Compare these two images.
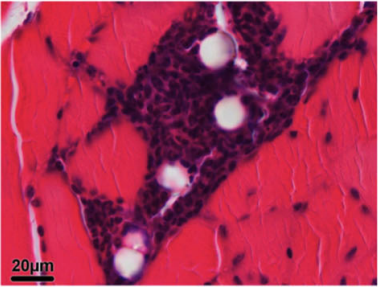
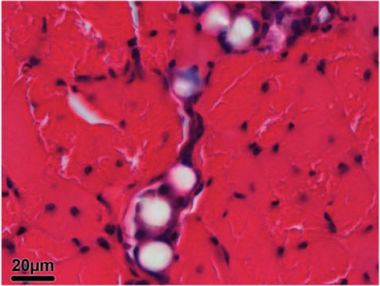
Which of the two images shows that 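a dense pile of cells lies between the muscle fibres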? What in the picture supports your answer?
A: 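The first image. Second image: only a thin line of scattered nuclei runs between fibres beside the round clear spaces. First image: a broad, densely packed mass of dark nuclei fills the gap between fibres.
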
